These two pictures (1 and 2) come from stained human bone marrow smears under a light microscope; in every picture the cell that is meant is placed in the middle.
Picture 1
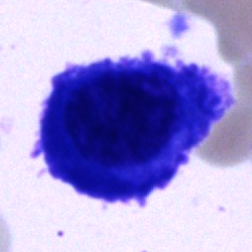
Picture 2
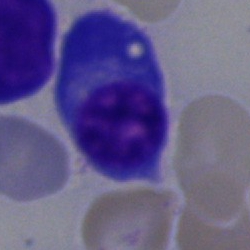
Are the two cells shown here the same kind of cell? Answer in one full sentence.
Yes, the two pictures both show plasma cells.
